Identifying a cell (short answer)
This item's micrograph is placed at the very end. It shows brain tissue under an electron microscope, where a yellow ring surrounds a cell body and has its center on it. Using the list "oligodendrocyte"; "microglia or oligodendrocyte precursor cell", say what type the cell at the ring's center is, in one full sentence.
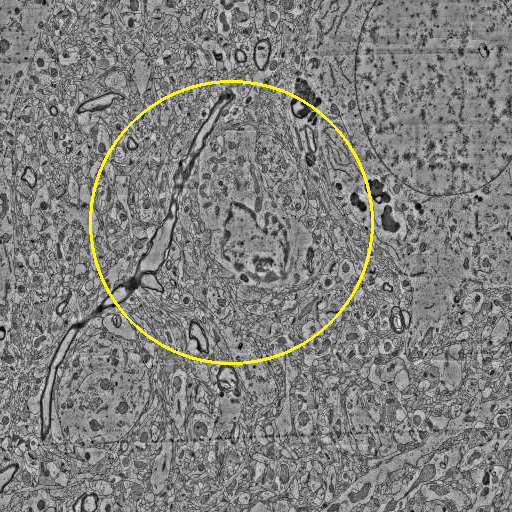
This picture shows a microglial cell or oligodendrocyte precursor cell at the center of the yellow ring drawn on it.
